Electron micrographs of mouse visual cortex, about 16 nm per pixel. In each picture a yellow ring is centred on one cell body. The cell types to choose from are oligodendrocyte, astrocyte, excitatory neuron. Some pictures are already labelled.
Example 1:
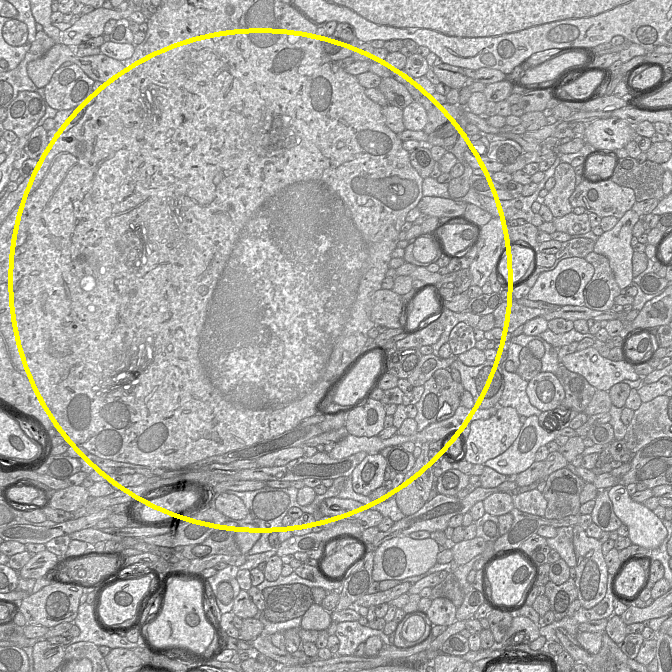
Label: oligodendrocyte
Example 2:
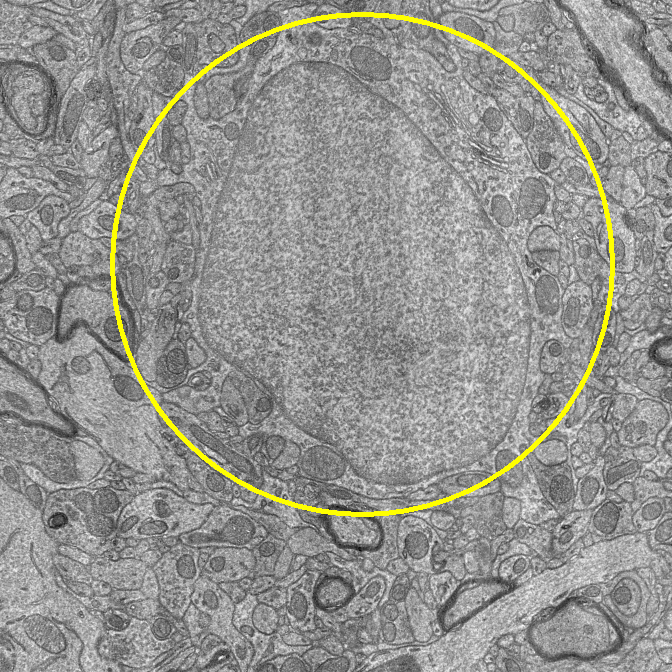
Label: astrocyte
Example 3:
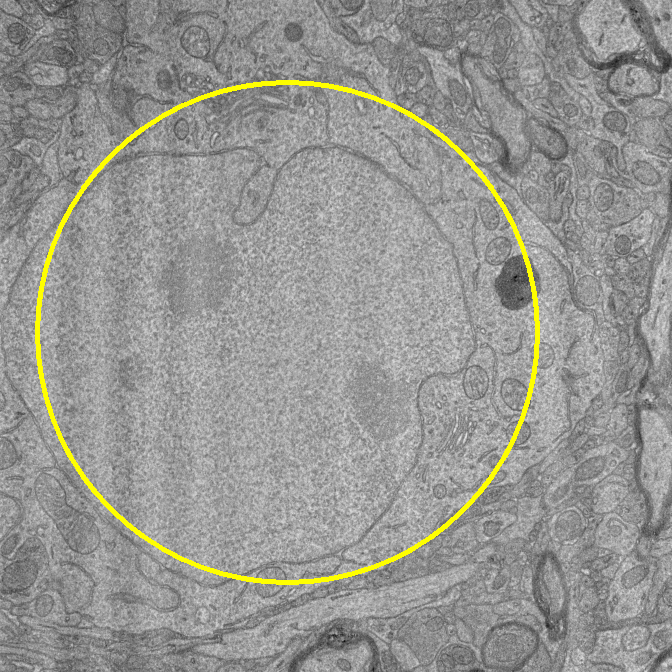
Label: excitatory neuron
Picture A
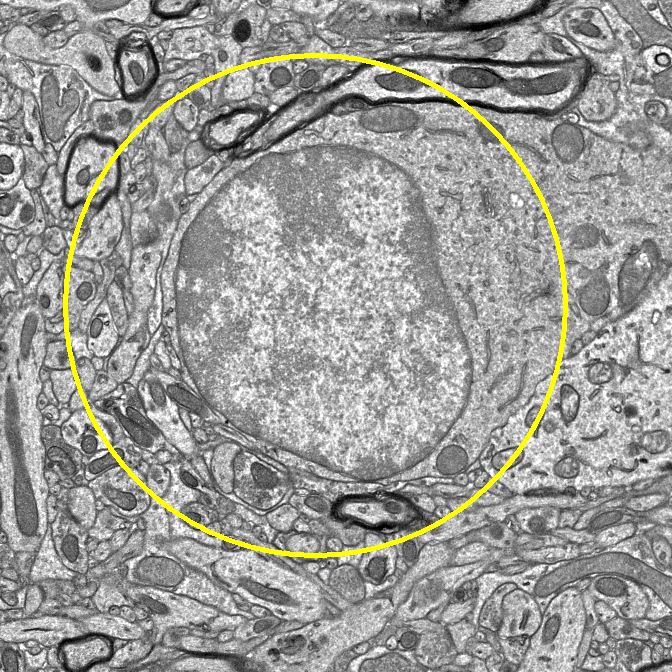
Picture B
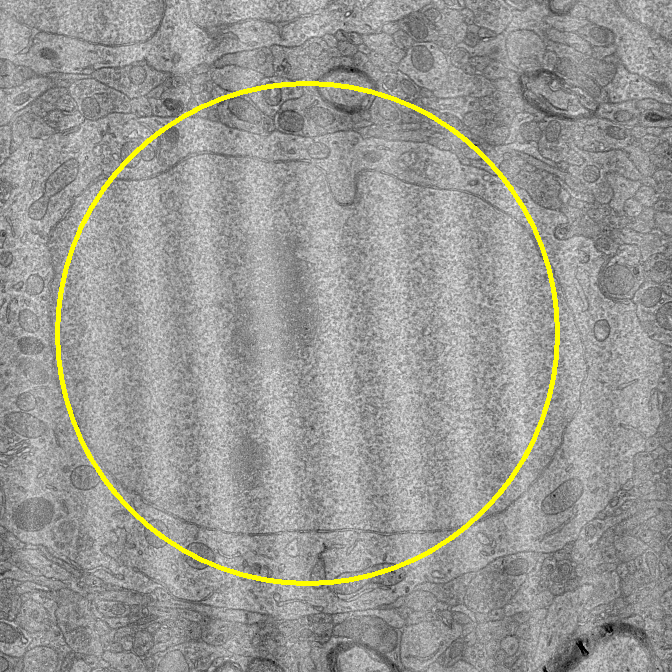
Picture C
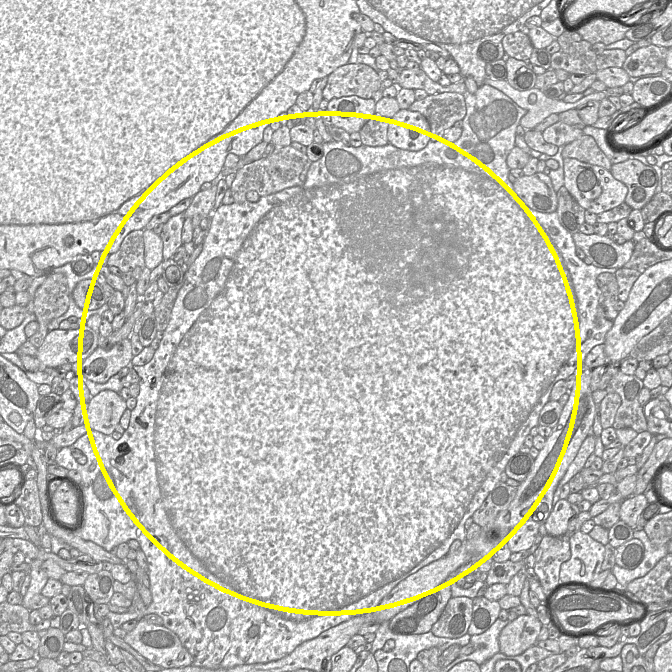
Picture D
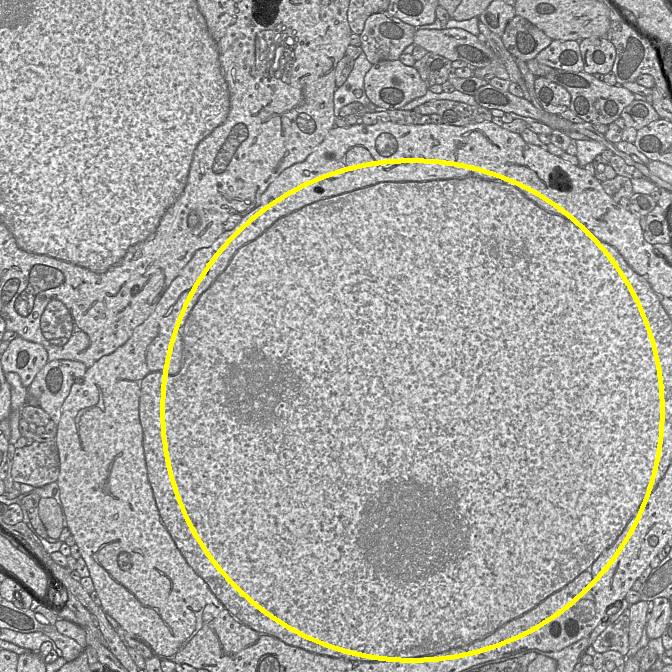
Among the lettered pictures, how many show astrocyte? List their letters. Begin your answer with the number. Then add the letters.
1, namely C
